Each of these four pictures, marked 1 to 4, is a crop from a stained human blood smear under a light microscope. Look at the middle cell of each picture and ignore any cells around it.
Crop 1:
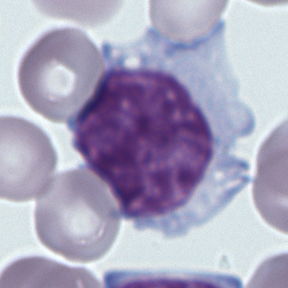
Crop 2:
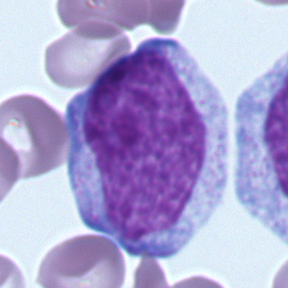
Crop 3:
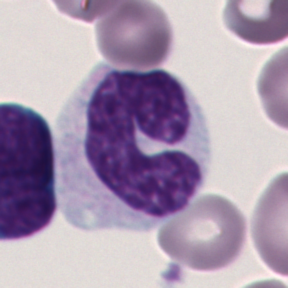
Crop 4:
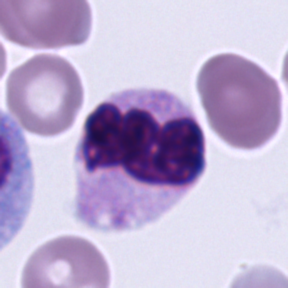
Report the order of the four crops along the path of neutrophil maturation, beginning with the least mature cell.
1, 2, 3, 4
